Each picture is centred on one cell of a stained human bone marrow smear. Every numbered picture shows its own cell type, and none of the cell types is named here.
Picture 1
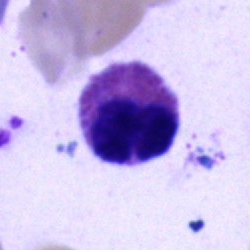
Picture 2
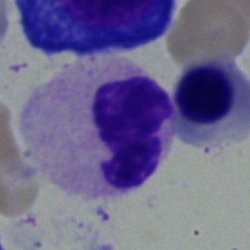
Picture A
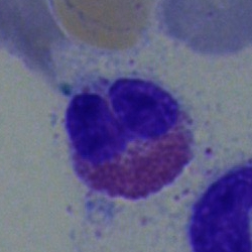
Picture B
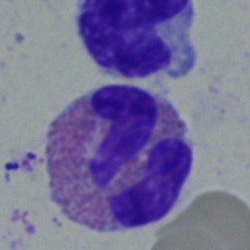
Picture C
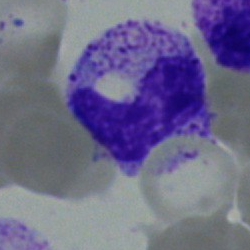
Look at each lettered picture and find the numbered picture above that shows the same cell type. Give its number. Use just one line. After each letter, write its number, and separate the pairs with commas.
A 1, B 1, C 2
